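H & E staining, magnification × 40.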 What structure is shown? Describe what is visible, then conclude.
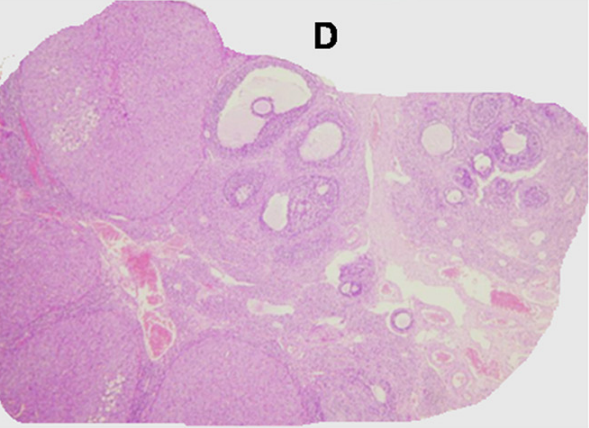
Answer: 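Antral follicles. Several rounded follicles in the upper part contain a clear fluid-filled cavity. Each cavity is lined by a multilayered rim of purple granulosa cells.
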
